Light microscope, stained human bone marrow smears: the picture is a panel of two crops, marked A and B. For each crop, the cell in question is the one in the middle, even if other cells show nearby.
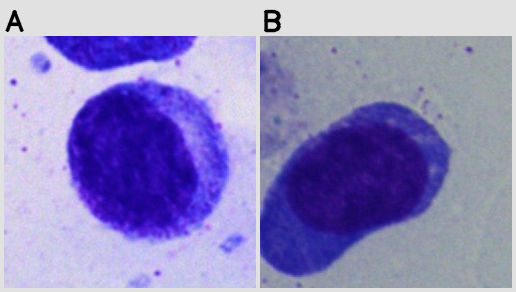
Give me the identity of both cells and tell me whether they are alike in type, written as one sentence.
No, crop A is where a promyelocyte is shown, and crop B is where a plasma cell is shown.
